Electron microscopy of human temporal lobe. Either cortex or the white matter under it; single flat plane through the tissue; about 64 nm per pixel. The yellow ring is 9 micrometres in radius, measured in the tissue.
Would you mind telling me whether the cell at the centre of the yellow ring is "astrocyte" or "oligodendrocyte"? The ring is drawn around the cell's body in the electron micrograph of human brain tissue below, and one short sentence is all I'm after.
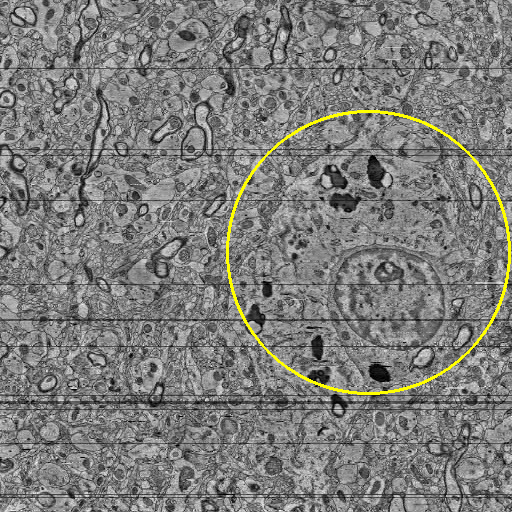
In the centre of the ring lies an oligodendrocyte.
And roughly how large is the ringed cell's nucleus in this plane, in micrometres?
In this plane, roughly 7 micrometres across.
